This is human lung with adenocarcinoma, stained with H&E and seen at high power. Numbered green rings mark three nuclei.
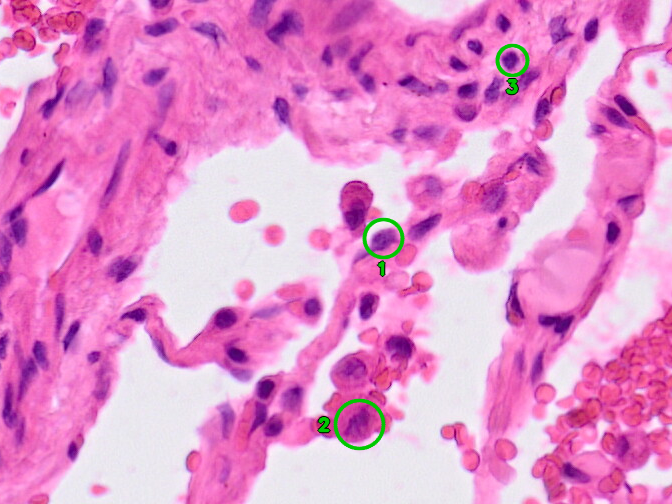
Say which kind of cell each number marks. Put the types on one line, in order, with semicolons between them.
type I pneumocyte; macrophage or monocyte; lymphocyte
